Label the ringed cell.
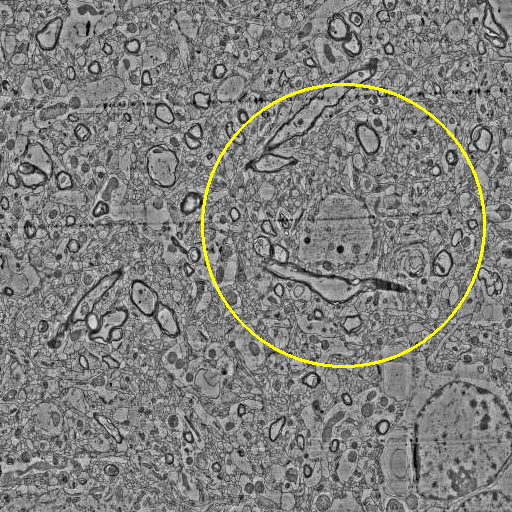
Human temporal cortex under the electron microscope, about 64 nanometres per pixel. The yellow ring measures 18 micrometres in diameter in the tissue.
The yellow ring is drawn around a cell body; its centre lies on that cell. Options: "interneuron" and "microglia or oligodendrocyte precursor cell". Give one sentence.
The ringed cell is an interneuron.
